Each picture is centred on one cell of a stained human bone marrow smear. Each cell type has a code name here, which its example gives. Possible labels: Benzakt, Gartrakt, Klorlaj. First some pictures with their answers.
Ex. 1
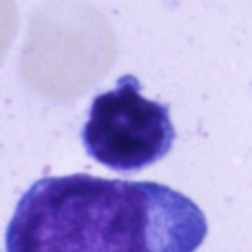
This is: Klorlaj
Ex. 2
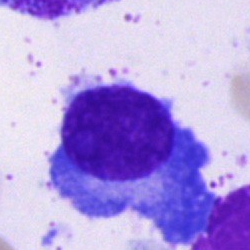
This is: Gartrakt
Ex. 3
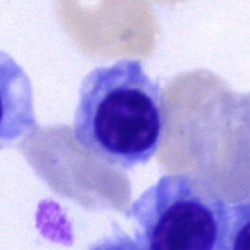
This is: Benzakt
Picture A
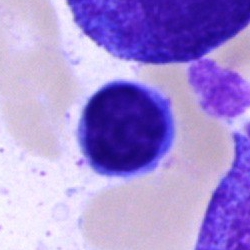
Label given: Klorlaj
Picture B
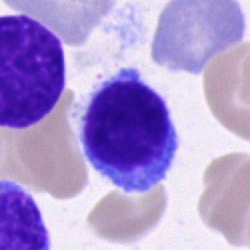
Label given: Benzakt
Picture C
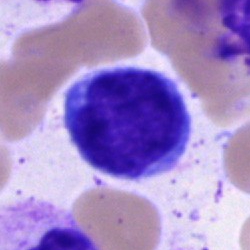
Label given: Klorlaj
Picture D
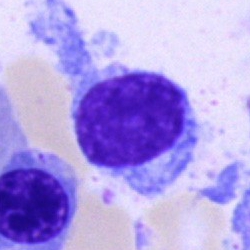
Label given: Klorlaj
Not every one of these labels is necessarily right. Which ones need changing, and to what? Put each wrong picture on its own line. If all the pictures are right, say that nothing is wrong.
B: not Benzakt but Klorlaj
